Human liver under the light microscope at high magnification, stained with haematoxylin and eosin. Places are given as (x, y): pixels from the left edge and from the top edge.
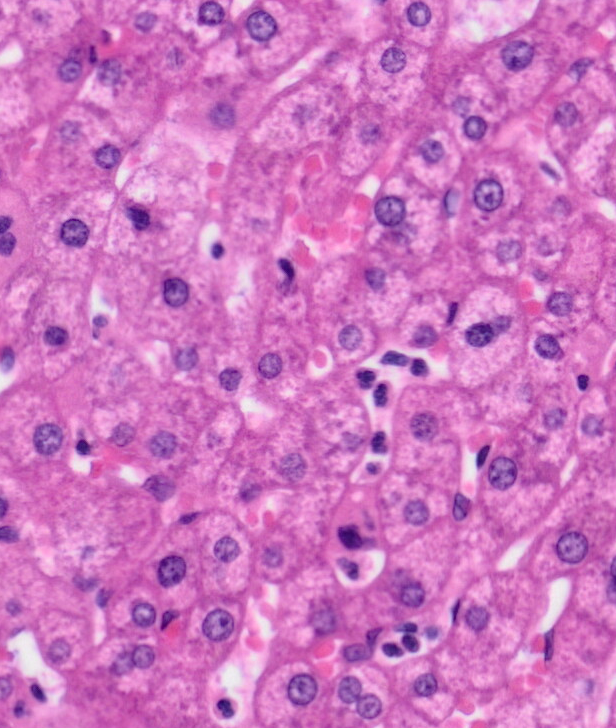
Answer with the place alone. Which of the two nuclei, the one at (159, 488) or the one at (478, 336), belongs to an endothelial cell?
(159, 488)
